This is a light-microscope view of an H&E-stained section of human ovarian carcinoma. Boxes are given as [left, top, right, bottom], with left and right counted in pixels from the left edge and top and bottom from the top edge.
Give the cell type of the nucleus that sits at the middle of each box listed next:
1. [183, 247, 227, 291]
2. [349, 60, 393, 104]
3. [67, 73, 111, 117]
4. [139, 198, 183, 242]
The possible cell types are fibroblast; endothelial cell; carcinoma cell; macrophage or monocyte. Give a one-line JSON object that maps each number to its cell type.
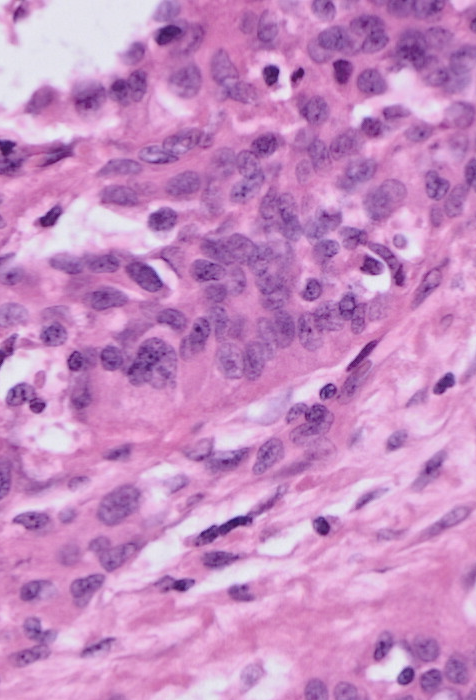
{"1": "macrophage or monocyte", "2": "carcinoma cell", "3": "carcinoma cell", "4": "macrophage or monocyte"}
